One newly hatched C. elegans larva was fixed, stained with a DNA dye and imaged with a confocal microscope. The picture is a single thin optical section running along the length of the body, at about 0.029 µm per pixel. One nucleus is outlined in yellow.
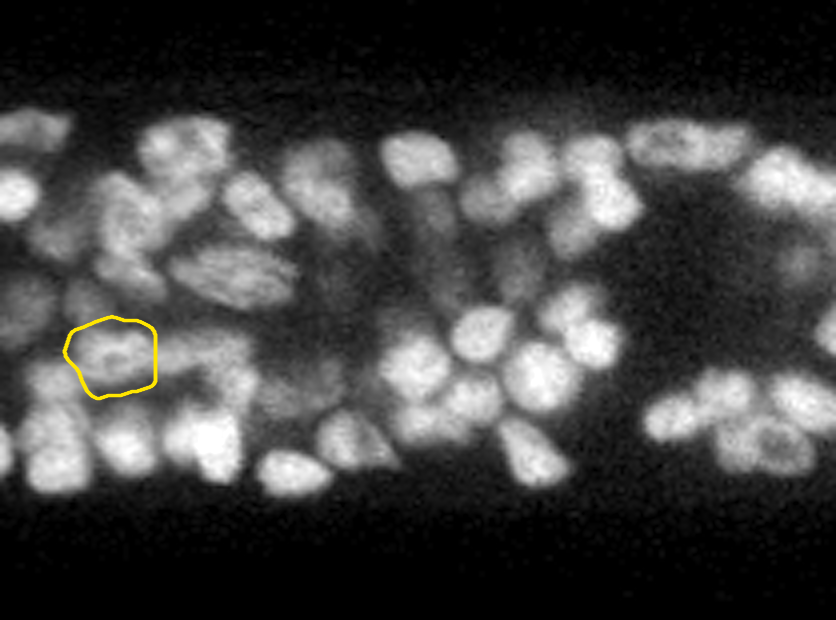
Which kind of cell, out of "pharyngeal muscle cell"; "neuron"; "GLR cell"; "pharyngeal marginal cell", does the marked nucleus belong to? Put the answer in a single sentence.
The cell with the marked nucleus is a pharyngeal muscle cell.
